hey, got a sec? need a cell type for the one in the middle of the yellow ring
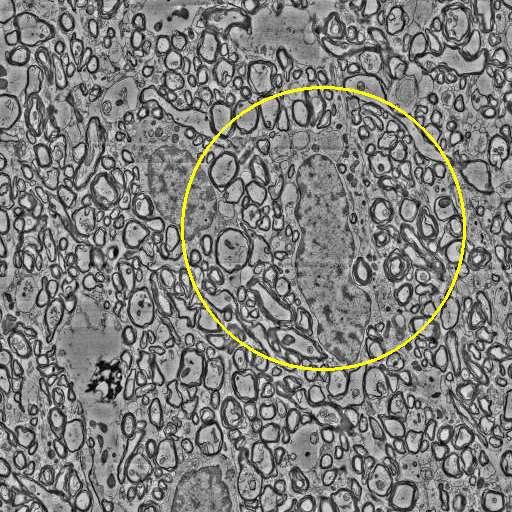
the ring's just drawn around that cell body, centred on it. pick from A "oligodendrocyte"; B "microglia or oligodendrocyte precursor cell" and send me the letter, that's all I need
B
